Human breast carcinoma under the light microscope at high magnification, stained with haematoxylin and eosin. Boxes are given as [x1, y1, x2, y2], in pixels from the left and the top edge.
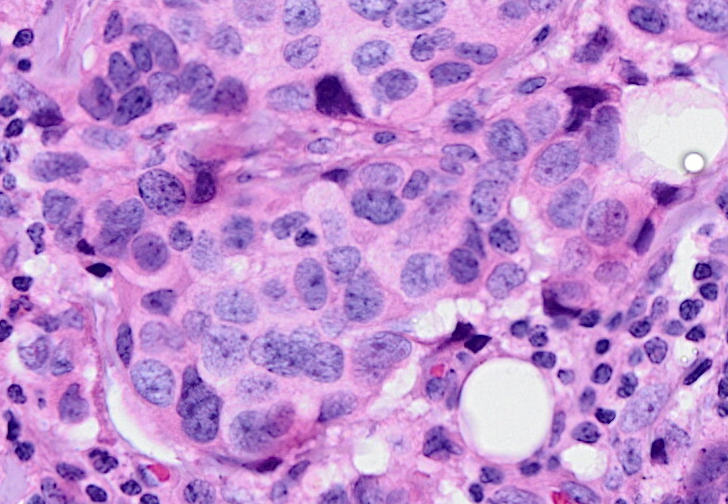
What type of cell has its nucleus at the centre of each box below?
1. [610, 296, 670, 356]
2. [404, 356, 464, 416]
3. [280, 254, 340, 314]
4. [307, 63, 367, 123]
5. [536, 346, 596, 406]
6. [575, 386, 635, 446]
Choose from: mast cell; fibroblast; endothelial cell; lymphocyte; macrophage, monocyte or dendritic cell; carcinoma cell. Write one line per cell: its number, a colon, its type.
1: lymphocyte
2: endothelial cell
3: carcinoma cell
4: carcinoma cell
5: lymphocyte
6: lymphocyte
